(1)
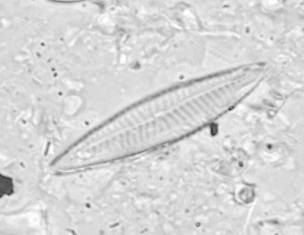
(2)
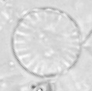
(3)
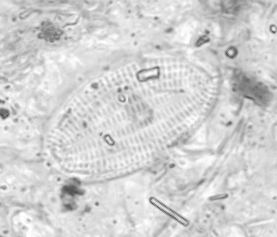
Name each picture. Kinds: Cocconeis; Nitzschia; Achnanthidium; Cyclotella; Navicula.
(1) Navicula
(2) Cyclotella
(3) Cocconeis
